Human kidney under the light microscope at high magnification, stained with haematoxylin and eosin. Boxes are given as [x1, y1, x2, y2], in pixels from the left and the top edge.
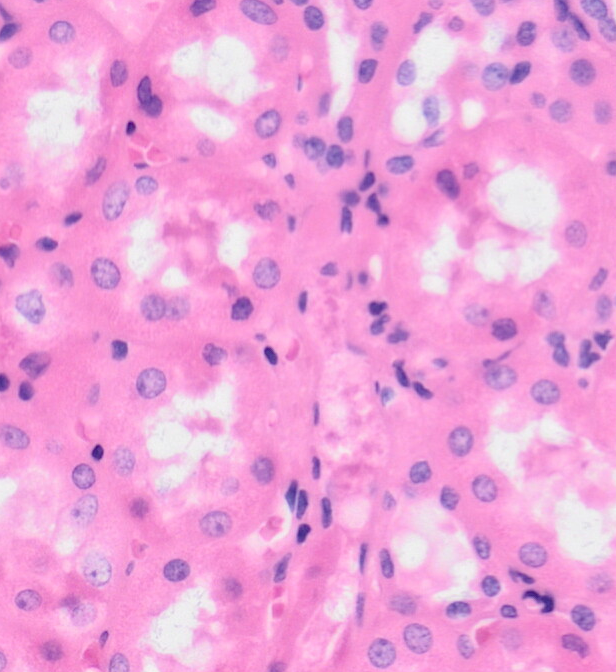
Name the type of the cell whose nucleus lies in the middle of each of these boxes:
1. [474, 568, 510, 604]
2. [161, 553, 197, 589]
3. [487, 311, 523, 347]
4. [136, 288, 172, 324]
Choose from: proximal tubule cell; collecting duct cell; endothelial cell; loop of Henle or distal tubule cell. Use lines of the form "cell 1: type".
cell 1: loop of Henle or distal tubule cell
cell 2: proximal tubule cell
cell 3: proximal tubule cell
cell 4: proximal tubule cell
